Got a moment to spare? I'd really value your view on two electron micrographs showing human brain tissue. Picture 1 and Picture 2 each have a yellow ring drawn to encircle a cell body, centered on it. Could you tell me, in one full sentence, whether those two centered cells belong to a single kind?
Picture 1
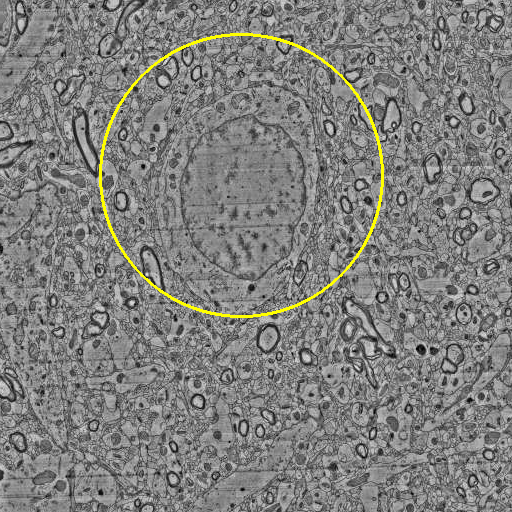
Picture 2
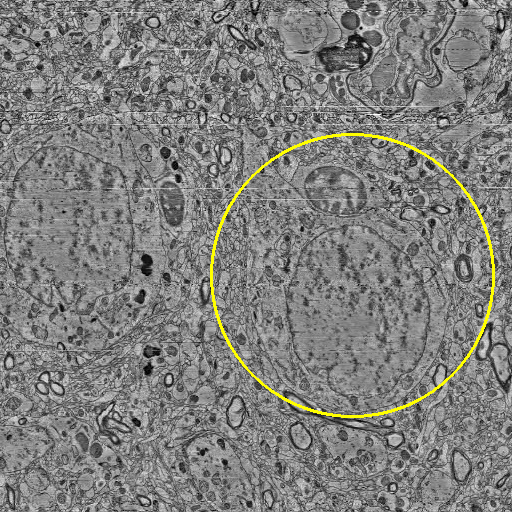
Yes, the two centered cells in Picture 1 and Picture 2 are of a single kind.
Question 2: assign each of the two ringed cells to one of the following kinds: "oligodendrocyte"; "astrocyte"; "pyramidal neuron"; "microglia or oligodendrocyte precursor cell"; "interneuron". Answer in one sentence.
Both rings mark a pyramidal neuron, one in each picture.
